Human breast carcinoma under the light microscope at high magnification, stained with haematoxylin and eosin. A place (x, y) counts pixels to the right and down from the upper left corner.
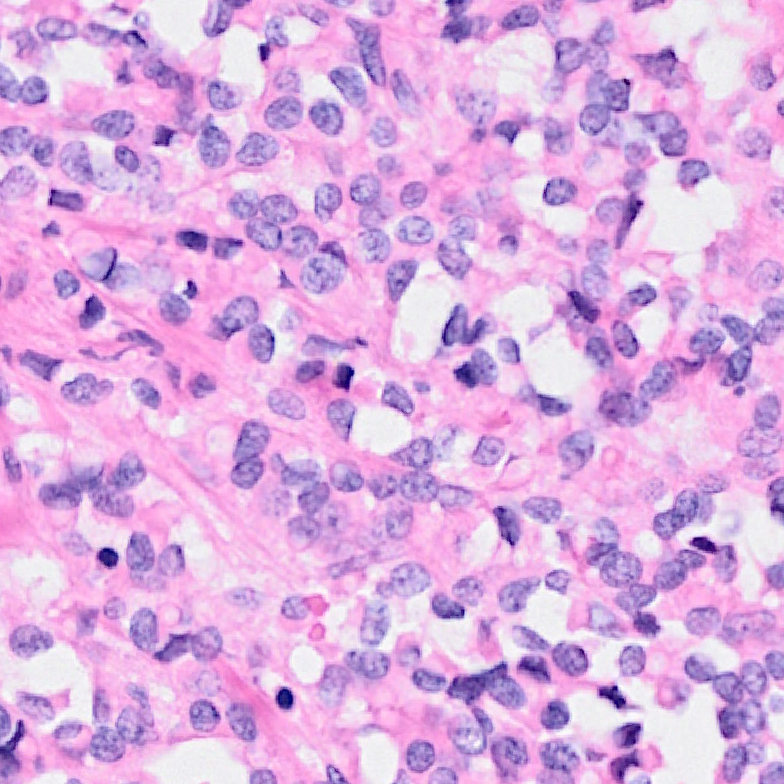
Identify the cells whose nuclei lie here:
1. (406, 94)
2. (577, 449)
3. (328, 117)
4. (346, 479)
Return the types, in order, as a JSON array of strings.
["endothelial cell", "carcinoma cell", "carcinoma cell", "carcinoma cell"]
